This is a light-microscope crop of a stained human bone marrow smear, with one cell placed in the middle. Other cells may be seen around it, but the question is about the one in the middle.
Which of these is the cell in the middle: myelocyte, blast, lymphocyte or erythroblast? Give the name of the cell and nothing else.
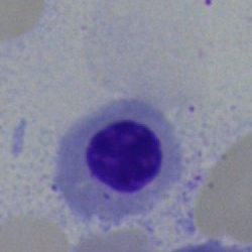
erythroblast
